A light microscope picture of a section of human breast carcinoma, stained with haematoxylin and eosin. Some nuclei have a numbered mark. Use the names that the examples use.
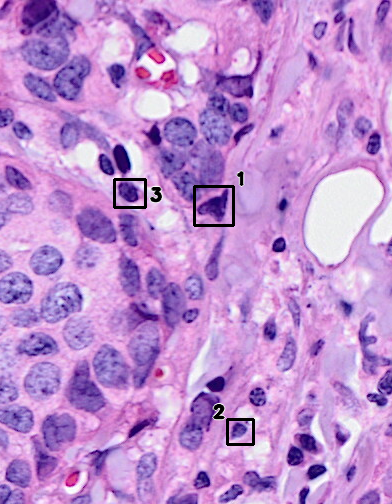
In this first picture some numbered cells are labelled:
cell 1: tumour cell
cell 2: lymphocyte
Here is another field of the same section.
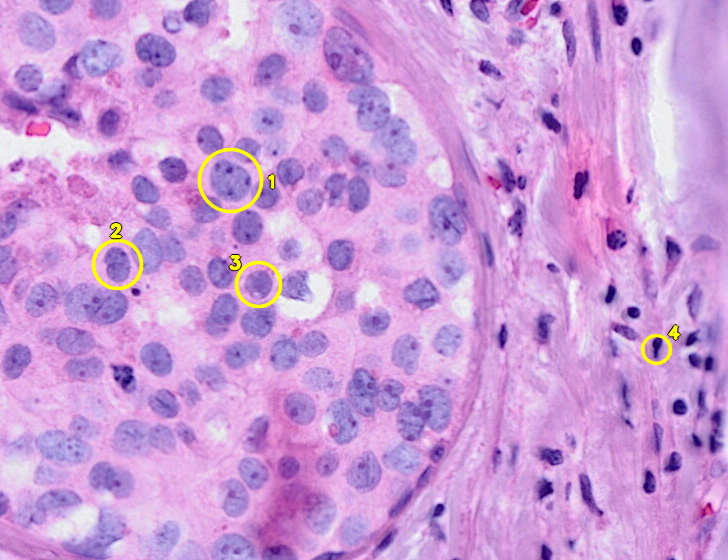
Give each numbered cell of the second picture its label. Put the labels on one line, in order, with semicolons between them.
tumour cell; tumour cell; tumour cell; lymphocyte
